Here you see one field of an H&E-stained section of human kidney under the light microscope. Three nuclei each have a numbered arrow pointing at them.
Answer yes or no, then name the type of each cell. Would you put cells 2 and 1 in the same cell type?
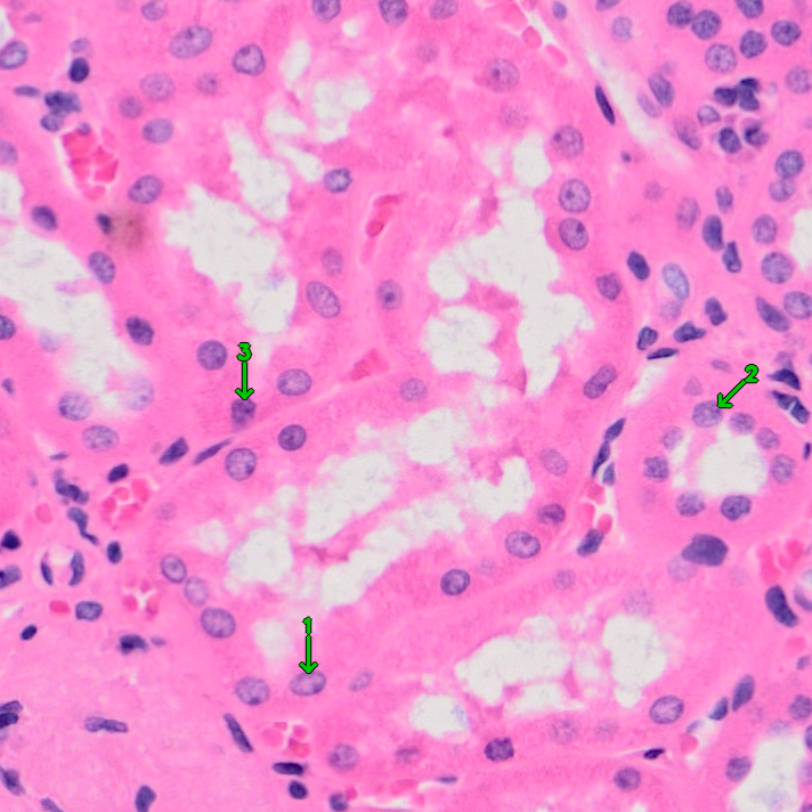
No, cell 2 is a loop of Henle or distal tubule cell and cell 1 is a proximal tubule cell.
